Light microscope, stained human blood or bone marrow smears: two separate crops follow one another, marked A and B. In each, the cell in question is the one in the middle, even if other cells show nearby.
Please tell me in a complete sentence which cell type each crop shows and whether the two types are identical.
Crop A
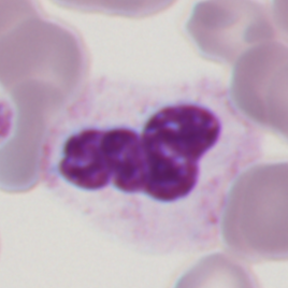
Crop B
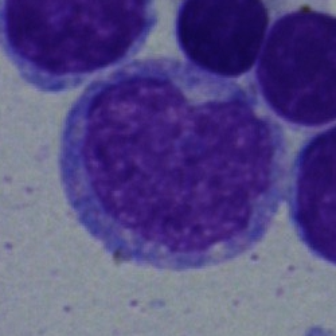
No, a segmented neutrophil is shown in crop A and a monocyte in crop B.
